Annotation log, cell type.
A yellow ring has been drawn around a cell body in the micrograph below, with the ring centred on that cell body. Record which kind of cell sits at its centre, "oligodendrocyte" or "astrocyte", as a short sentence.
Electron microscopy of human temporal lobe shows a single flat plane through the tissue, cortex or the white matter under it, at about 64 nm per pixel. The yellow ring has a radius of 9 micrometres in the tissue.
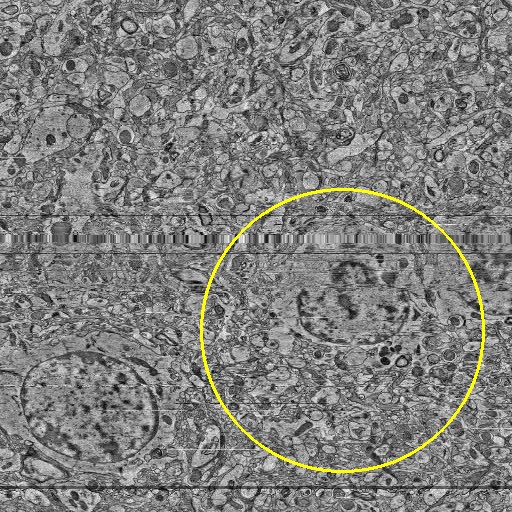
The cell at the centre of this ring is an astrocyte.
